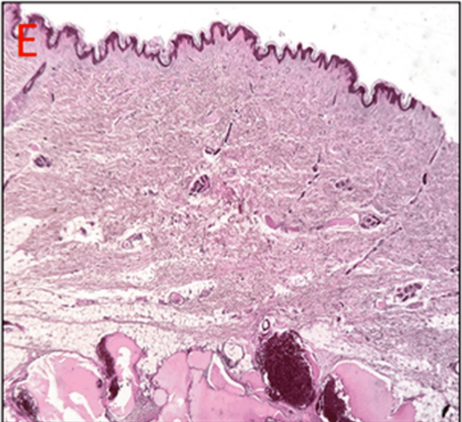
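This low-power section of skin shows an intact epidermis along the top, with a wavy basal border. Beneath it is a broad, pale pink dermis of collagen bundles containing a few small vessels. In the deepest part of the section lie large, dilated, irregular vascular cavities. These cavities are filled with pink homogeneous material and dark purple packed contents, and are separated by thin walls.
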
